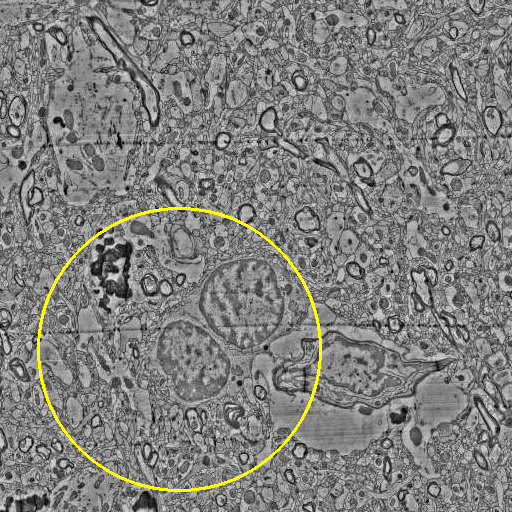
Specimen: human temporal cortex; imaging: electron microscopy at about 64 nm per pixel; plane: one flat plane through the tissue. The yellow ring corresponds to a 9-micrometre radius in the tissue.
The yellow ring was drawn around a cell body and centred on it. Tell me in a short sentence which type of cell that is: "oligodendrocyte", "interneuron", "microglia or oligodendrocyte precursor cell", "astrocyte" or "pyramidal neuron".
The cell at the ring's centre is an oligodendrocyte.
